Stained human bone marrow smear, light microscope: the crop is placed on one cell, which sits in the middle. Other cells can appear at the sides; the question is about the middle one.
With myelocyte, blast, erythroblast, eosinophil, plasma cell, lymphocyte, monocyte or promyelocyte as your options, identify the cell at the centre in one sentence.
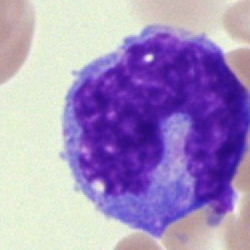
In the center of this field lies a monocyte.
